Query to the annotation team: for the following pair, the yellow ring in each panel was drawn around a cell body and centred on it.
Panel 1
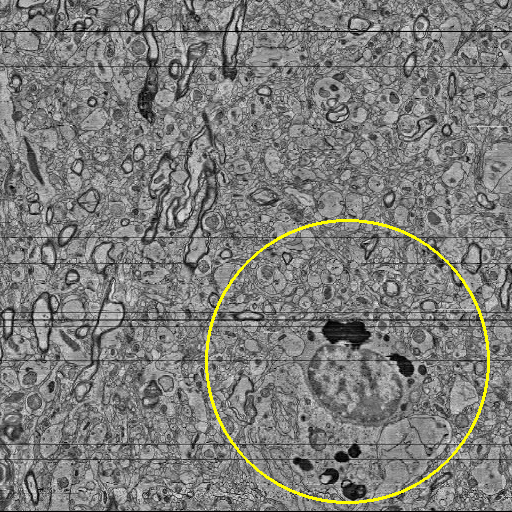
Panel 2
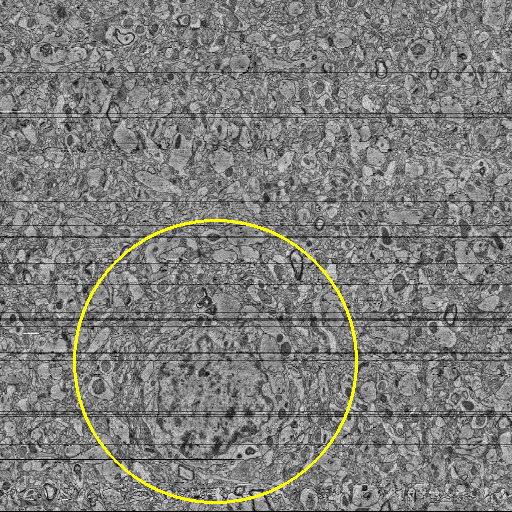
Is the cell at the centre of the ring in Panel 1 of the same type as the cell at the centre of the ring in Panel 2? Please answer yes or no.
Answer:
no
